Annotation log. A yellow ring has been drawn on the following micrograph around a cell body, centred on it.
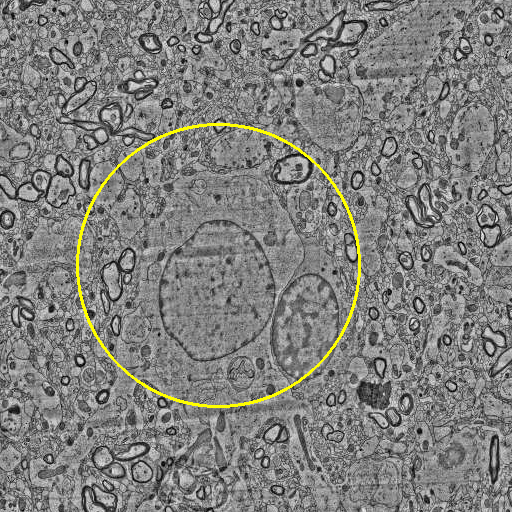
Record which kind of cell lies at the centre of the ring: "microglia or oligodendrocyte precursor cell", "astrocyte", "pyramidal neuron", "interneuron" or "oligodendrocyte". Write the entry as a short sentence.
The cell the ring is centred on is an astrocyte.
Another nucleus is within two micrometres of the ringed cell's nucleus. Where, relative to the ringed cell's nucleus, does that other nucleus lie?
The second nucleus lies to the right of it.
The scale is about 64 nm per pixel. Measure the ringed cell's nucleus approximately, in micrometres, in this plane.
The nucleus of the ringed cell is approximately 9 by 7 micrometres in this plane.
